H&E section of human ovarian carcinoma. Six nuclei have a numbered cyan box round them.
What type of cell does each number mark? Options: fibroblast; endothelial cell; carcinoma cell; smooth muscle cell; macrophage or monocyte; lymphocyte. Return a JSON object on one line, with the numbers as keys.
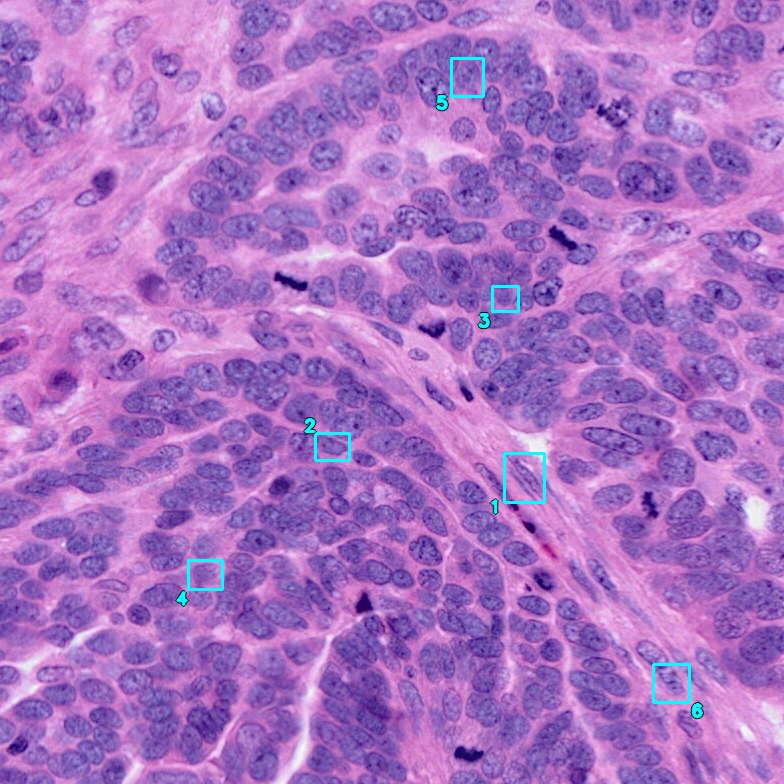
{"1": "fibroblast", "2": "carcinoma cell", "3": "carcinoma cell", "4": "carcinoma cell", "5": "carcinoma cell", "6": "fibroblast"}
